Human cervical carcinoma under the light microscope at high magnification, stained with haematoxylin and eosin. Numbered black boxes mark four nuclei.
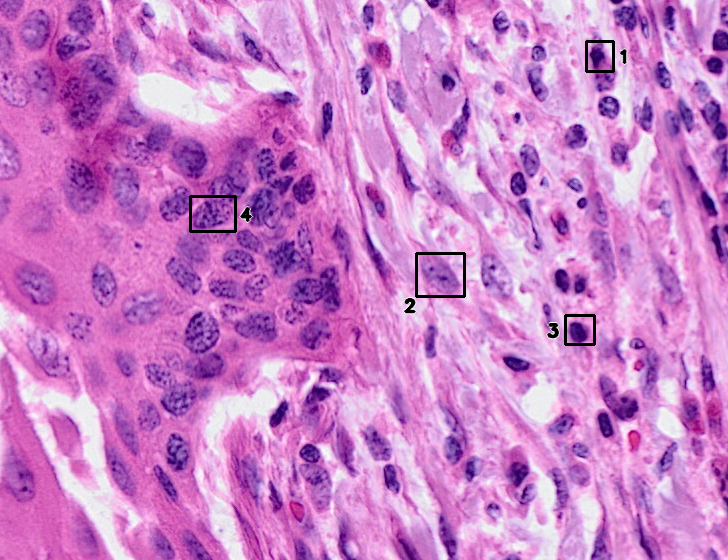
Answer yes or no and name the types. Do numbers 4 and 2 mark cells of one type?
No, cell 4 is a squamous carcinoma cell, and as for cell 2, it is a fibroblast.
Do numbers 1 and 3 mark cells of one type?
Yes, the cells numbered 1 and 3 are both lymphocytes.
